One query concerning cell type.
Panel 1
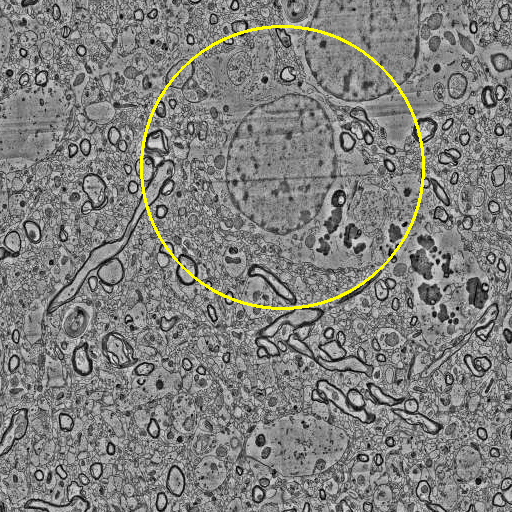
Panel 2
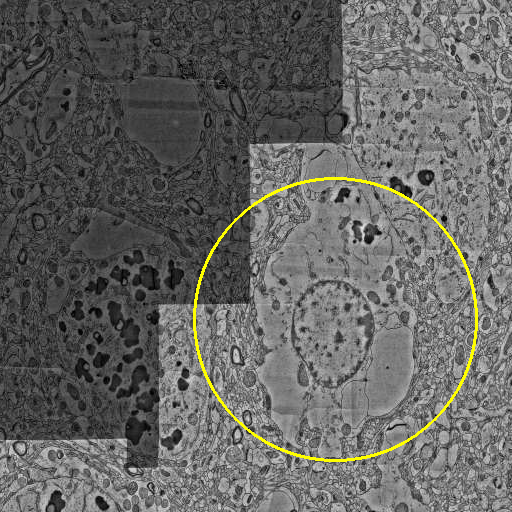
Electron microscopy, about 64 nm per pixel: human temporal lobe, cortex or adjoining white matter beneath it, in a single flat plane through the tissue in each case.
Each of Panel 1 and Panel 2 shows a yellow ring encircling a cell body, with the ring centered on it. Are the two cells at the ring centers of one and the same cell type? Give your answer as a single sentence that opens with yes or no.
Yes, the cell centered in Panel 1 and the one in Panel 2 share a type.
